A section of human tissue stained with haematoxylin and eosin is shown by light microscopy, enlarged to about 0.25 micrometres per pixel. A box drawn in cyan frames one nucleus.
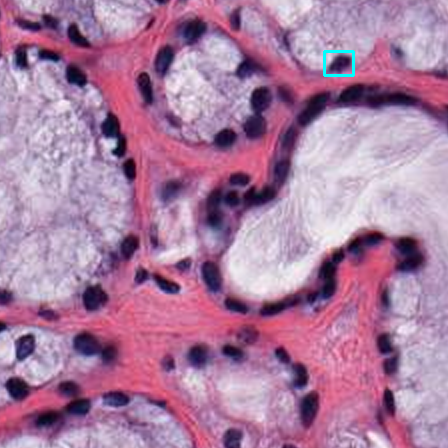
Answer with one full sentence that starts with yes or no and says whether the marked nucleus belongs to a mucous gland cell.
Yes, to a mucous gland cell belongs the marked nucleus.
